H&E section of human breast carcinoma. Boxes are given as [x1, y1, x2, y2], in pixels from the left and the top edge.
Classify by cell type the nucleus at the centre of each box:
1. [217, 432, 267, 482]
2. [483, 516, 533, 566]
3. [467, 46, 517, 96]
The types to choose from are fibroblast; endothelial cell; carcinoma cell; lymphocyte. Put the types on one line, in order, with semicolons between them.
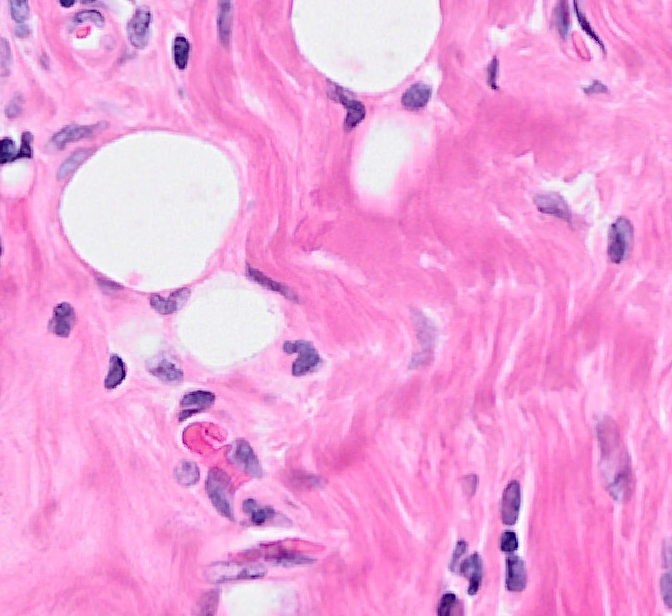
endothelial cell; lymphocyte; fibroblast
